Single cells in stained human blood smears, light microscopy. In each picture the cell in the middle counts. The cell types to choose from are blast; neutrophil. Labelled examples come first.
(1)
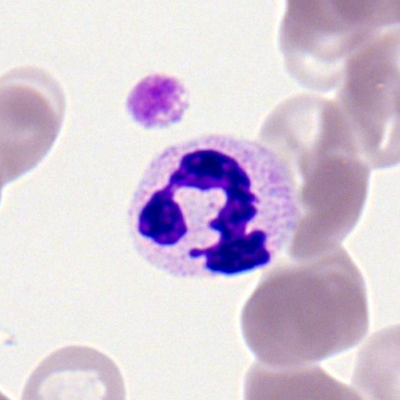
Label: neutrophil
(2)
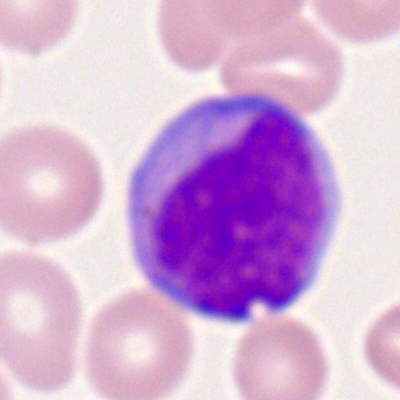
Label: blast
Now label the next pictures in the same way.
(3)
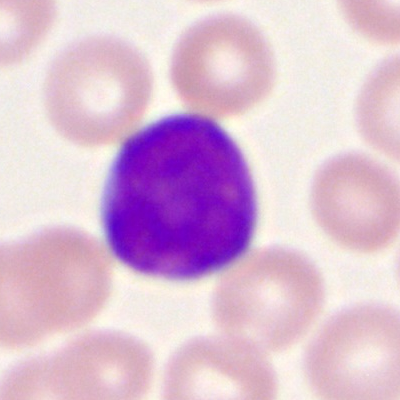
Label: blast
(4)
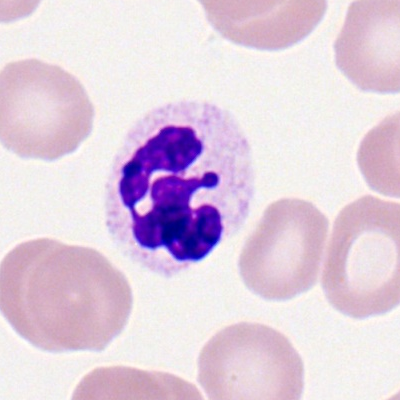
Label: neutrophil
